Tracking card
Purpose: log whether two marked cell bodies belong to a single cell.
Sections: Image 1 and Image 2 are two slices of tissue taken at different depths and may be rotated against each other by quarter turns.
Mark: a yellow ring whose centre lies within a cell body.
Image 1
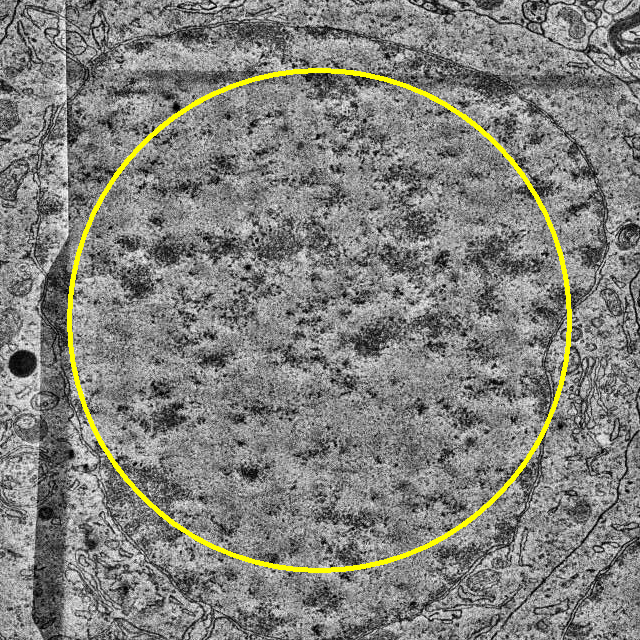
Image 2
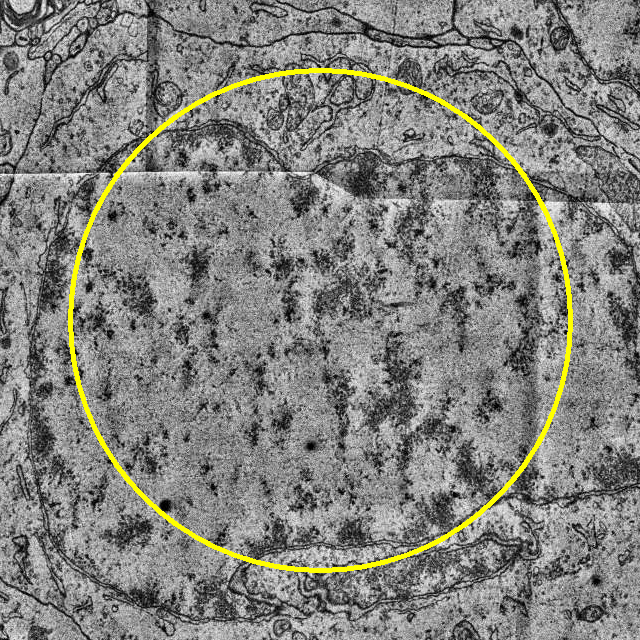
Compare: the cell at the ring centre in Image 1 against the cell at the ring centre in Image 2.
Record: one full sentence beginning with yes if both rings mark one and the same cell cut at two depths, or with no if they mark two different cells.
Yes, the cell marked in each ring is one and the same.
